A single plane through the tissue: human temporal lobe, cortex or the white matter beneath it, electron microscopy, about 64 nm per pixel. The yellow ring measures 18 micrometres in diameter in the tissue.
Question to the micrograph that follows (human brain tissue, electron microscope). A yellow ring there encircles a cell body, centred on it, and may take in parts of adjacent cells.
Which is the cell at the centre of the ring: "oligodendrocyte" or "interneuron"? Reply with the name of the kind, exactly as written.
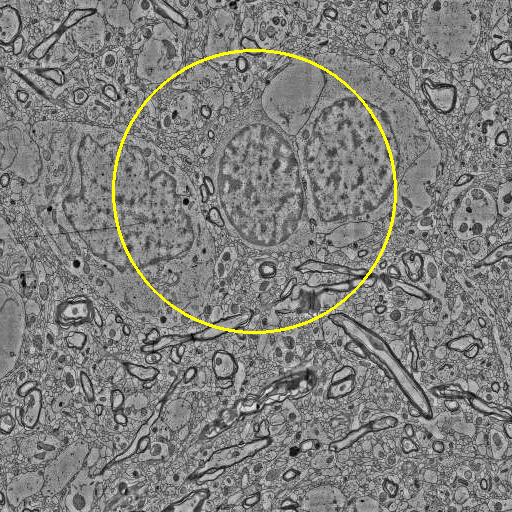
oligodendrocyte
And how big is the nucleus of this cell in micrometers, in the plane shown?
In this plane the nucleus is about 7 micrometres by 5.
